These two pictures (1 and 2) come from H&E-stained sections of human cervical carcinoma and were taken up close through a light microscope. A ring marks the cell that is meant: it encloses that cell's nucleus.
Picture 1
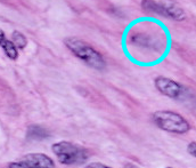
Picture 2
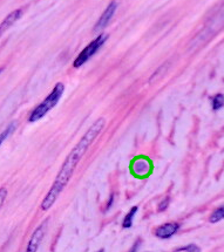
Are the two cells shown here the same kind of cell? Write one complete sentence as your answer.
Yes, they are the same type: both are smooth muscle cells.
